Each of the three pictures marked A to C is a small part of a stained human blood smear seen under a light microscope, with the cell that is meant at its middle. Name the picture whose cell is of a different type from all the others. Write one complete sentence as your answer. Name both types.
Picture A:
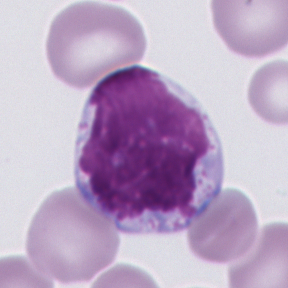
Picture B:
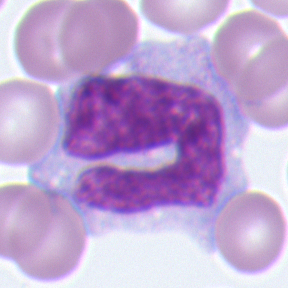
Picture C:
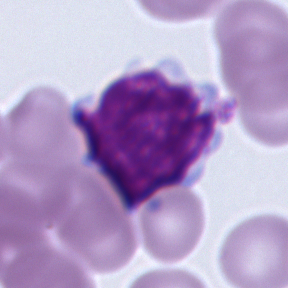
All pictures except B show large granular lymphocytes; picture B shows a monocyte.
